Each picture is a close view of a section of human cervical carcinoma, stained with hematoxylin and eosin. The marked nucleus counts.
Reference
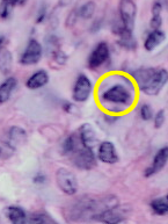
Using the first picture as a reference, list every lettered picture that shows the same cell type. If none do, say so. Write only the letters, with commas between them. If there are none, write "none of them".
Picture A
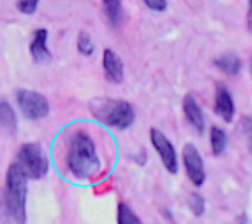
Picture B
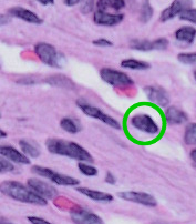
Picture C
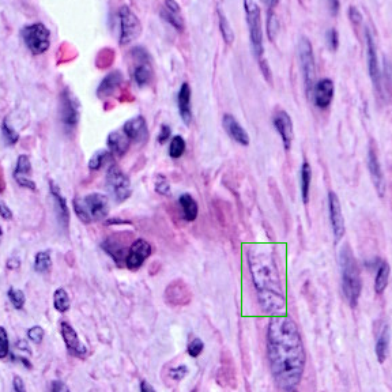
none of them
